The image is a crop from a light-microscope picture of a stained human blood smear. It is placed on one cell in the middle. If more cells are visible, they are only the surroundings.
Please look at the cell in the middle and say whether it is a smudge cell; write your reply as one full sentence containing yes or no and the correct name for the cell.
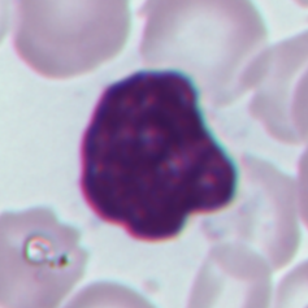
Yes, the cell at the middle of the frame is a smudge cell.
